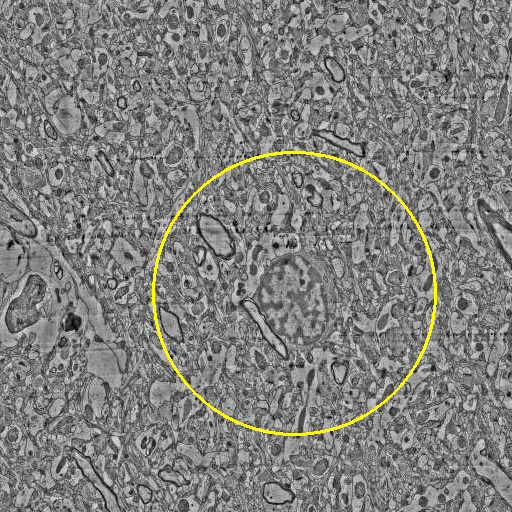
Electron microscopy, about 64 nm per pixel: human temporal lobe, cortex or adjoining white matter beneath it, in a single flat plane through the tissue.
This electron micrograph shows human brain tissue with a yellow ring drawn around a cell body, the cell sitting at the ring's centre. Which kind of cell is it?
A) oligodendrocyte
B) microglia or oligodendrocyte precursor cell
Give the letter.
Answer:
A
